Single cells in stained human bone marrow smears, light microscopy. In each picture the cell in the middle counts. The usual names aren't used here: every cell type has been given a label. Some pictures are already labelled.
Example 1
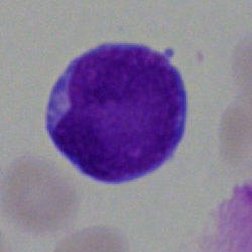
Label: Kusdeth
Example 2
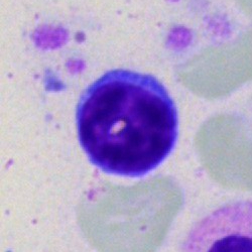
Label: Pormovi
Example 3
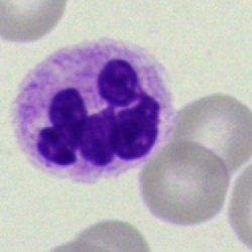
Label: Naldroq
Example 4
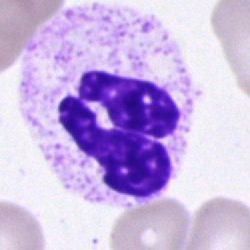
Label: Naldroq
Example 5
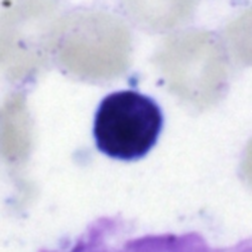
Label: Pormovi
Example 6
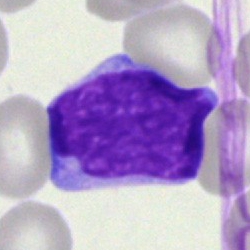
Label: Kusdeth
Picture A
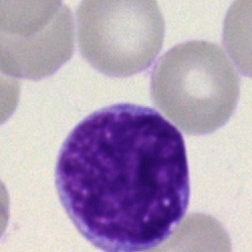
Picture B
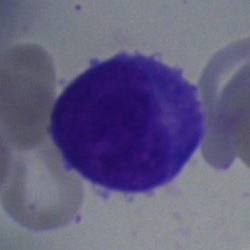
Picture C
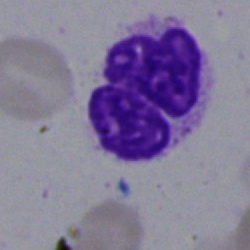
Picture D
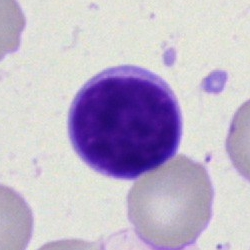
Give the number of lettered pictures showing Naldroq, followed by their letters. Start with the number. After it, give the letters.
1, namely C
